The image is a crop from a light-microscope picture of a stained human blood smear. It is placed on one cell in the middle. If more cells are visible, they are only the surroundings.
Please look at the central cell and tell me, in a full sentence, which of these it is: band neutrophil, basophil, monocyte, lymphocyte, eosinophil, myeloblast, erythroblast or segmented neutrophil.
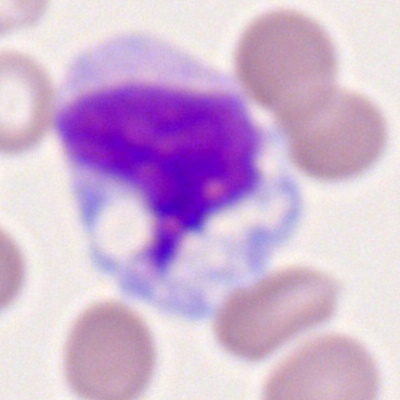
The cell shown in the center of this light-microscope crop is a monocyte.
